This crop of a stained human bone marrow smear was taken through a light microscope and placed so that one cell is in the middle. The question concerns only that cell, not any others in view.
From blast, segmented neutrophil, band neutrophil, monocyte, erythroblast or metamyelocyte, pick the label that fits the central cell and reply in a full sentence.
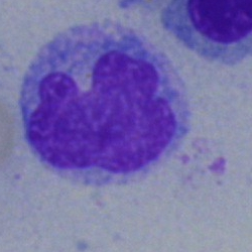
In the crop, the cell of interest at the centre is a monocyte.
